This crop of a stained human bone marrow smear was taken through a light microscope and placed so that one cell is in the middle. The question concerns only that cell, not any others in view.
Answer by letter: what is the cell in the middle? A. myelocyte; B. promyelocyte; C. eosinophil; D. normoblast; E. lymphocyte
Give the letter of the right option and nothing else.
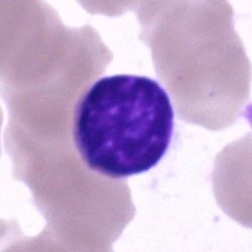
E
